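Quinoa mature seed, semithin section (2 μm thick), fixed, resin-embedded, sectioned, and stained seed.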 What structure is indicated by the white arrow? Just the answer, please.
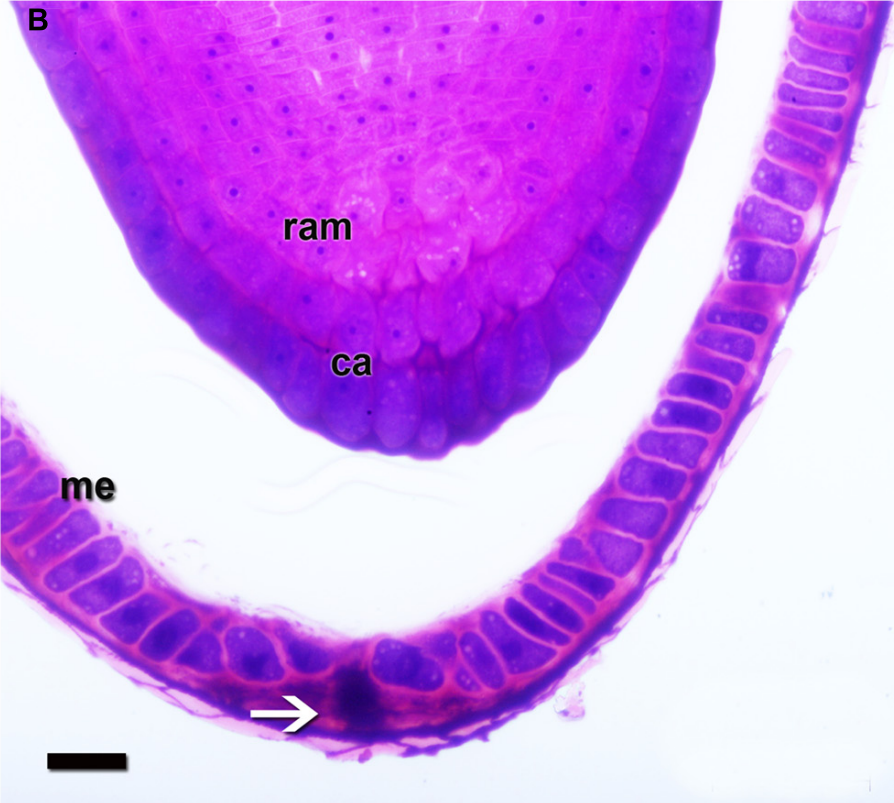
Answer: Remains of the suspensor.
